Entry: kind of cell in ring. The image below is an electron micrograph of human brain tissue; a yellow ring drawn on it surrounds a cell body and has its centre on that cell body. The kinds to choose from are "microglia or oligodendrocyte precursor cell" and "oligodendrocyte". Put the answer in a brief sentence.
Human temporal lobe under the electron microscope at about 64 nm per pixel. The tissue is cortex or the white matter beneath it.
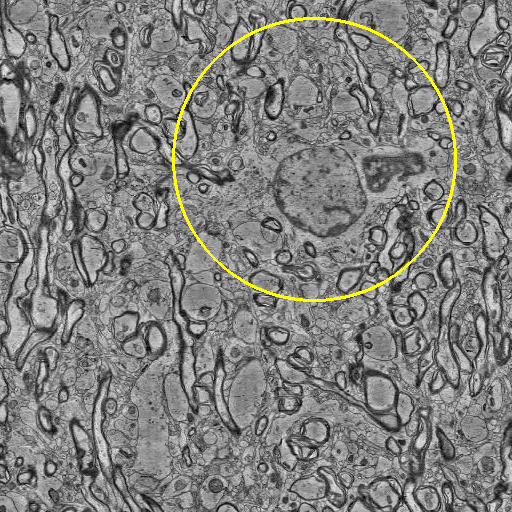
The ring has been drawn around a microglial cell or oligodendrocyte precursor cell.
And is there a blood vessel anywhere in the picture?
No, none shows.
